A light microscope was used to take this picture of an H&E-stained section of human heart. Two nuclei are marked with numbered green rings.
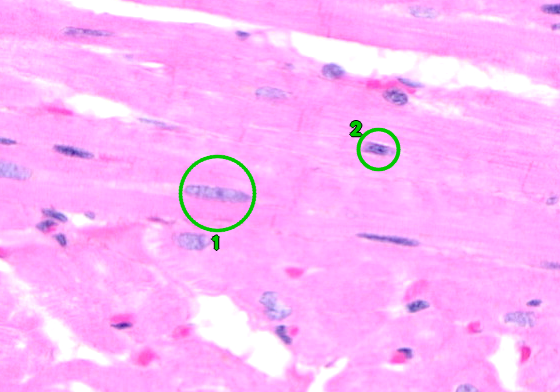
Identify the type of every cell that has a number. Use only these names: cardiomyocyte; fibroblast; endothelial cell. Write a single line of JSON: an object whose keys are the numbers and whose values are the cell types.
{"1": "cardiomyocyte", "2": "endothelial cell"}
